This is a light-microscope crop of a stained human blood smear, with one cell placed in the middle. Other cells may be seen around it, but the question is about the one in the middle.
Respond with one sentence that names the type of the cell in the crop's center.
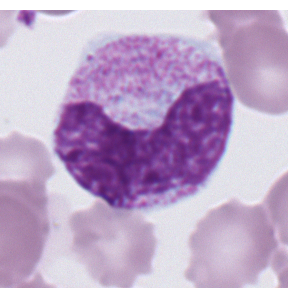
The cell in the middle of the field of view is a band neutrophil.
